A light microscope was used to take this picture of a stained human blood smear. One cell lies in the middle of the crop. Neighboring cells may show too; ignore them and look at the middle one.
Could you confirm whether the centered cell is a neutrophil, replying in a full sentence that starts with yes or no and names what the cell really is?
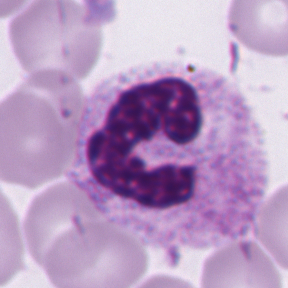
Yes, the cell placed centrally within the crop is a neutrophil.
